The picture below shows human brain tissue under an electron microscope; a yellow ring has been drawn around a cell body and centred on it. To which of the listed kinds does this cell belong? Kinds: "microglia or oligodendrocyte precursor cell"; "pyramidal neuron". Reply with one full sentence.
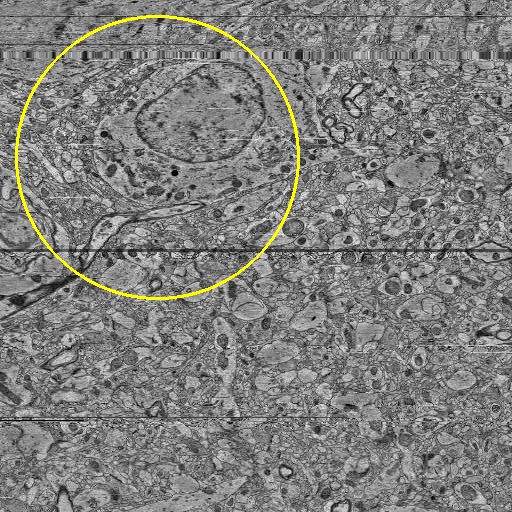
It is a pyramidal neuron that the yellow ring in the picture is centred on.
